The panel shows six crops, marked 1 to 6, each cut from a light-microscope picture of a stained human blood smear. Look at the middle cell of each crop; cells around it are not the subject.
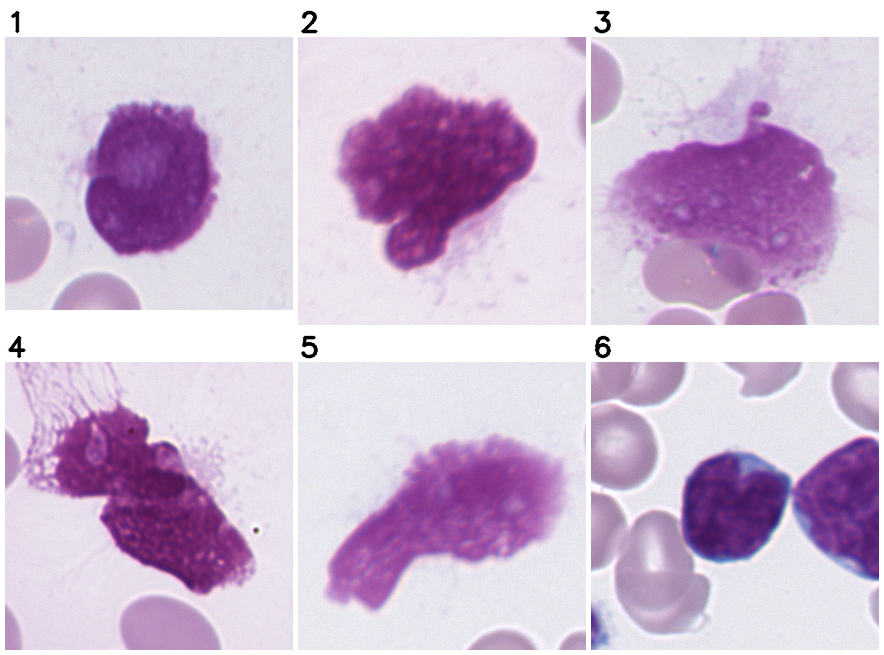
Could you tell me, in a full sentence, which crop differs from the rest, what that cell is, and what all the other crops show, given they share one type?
Crop 6 differs, its cell being a myeloblast, whereas the other crops show smudge cells.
